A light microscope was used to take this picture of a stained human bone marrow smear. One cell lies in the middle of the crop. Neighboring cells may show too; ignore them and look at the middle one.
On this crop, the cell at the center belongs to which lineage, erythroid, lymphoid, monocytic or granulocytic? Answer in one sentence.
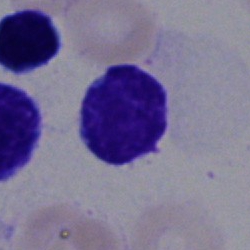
Within the lymphoid lineage lies the cell at the center of the crop.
